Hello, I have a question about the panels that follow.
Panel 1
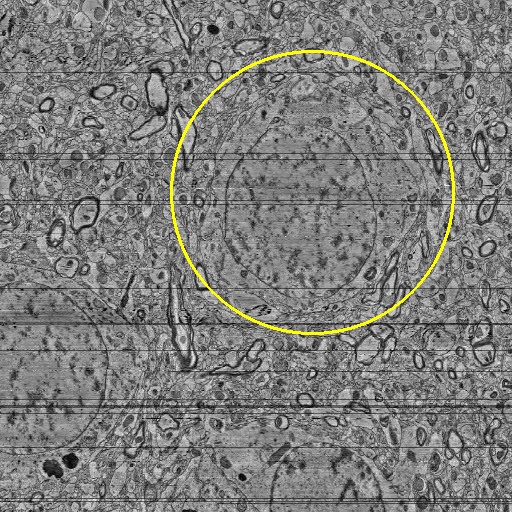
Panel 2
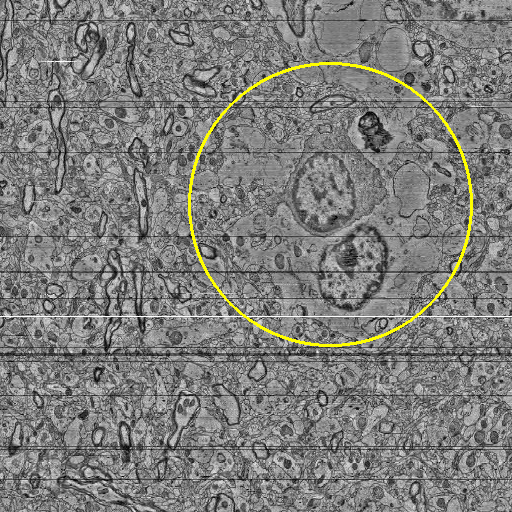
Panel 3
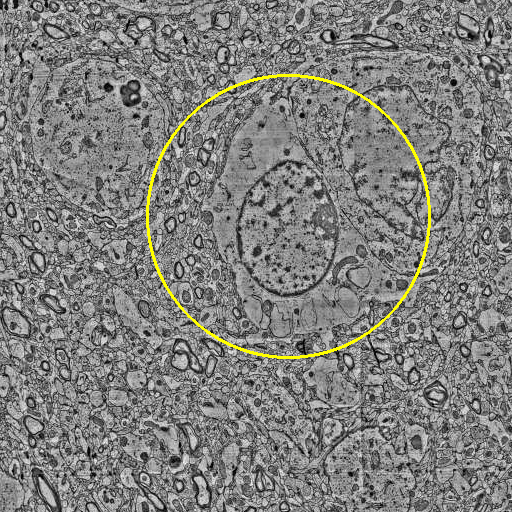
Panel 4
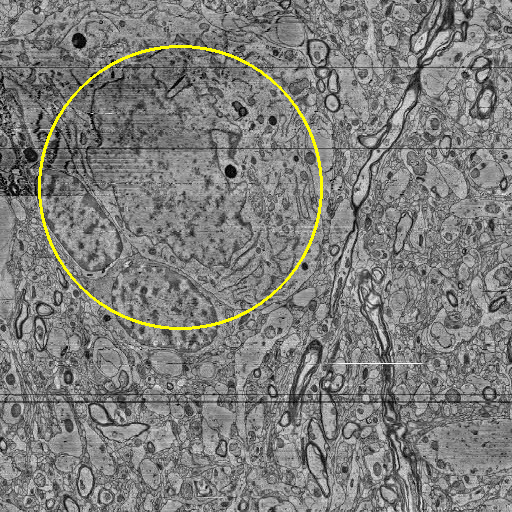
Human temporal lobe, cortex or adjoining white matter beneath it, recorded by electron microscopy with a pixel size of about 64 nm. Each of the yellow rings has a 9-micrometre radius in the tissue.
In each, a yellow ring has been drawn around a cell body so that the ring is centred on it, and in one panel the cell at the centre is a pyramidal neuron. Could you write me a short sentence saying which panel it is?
It is Panel 1.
